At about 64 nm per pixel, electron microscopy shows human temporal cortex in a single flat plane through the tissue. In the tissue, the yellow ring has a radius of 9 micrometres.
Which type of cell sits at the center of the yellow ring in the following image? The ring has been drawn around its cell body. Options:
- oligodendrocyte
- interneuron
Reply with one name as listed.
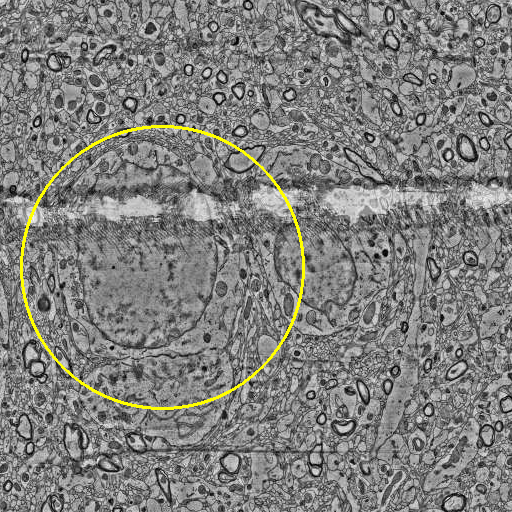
interneuron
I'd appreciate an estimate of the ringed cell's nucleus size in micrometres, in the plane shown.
The ringed cell's nucleus measures approximately 12 by 10 micrometres in this plane.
